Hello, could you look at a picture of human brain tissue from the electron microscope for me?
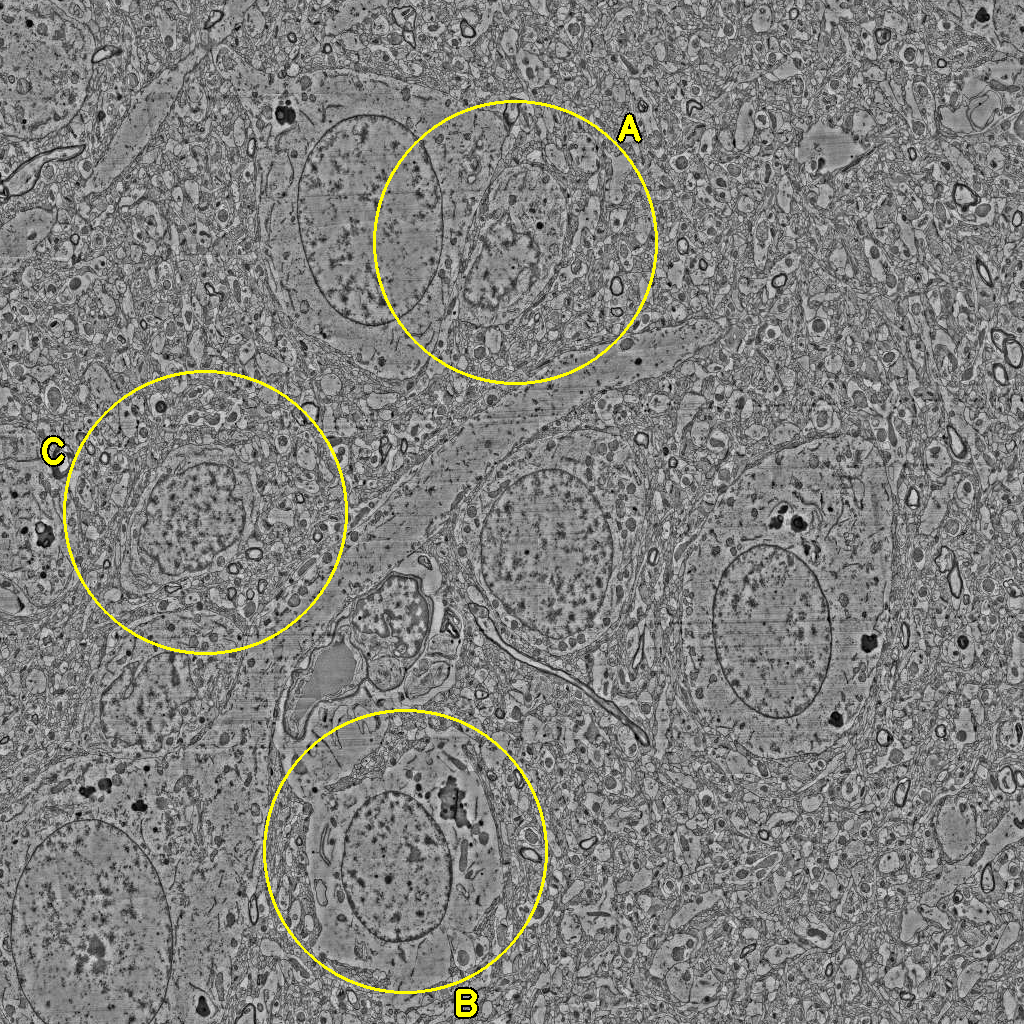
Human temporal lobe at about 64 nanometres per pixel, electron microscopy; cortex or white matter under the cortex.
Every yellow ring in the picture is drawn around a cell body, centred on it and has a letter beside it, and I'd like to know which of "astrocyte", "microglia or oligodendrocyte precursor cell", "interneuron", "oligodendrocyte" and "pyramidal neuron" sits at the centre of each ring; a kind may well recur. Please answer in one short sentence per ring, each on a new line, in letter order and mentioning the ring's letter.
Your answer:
The cell sitting at the centre of ring A is an interneuron.
The cell sitting at the centre of ring B is an astrocyte.
The cell sitting at the centre of ring C is an interneuron.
